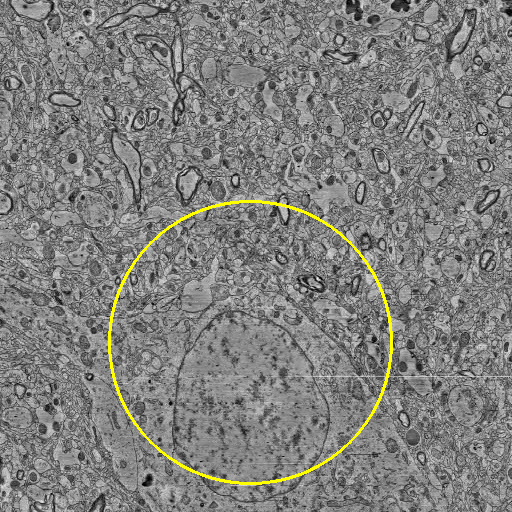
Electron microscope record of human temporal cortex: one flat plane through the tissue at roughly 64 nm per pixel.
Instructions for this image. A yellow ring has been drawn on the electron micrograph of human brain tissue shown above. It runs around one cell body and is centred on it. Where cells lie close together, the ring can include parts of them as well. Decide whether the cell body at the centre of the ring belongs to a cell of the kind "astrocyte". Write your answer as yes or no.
no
